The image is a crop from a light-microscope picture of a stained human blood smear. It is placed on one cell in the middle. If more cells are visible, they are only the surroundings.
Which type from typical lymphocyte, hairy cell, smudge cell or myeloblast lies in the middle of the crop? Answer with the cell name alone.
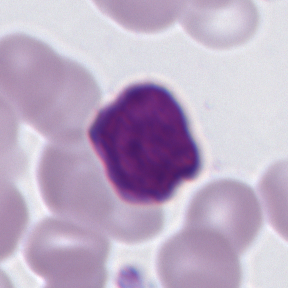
smudge cell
